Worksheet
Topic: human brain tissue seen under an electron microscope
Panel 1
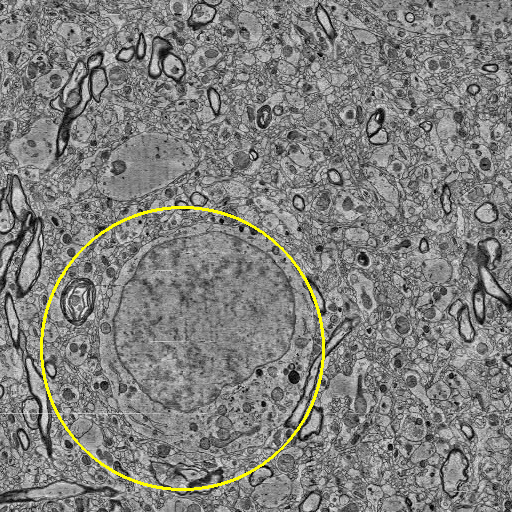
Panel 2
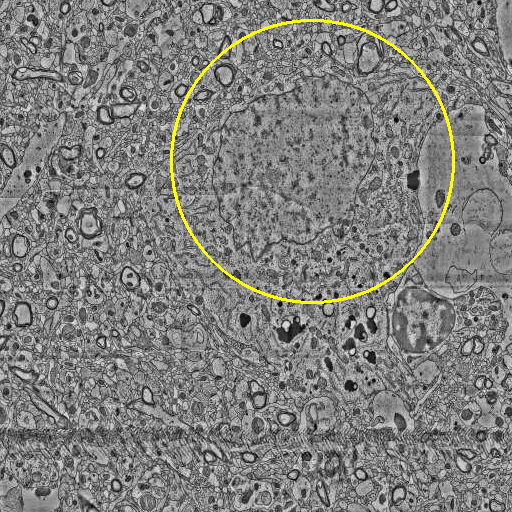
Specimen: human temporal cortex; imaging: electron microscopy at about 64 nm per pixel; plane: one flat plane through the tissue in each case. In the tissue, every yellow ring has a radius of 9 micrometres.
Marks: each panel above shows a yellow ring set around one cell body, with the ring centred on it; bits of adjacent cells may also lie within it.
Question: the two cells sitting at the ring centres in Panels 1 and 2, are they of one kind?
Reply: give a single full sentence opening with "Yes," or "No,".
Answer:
No, the two ring-centre cells in Panel 1 and Panel 2 are of two kinds.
